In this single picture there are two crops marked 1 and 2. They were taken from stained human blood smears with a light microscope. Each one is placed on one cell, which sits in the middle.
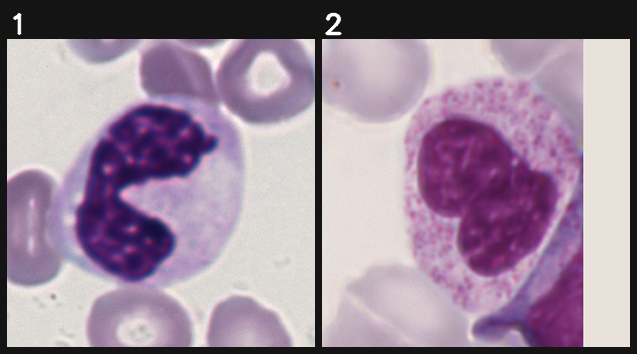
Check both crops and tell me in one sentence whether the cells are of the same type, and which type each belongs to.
Yes, the cells under consideration in both crops are band neutrophils.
